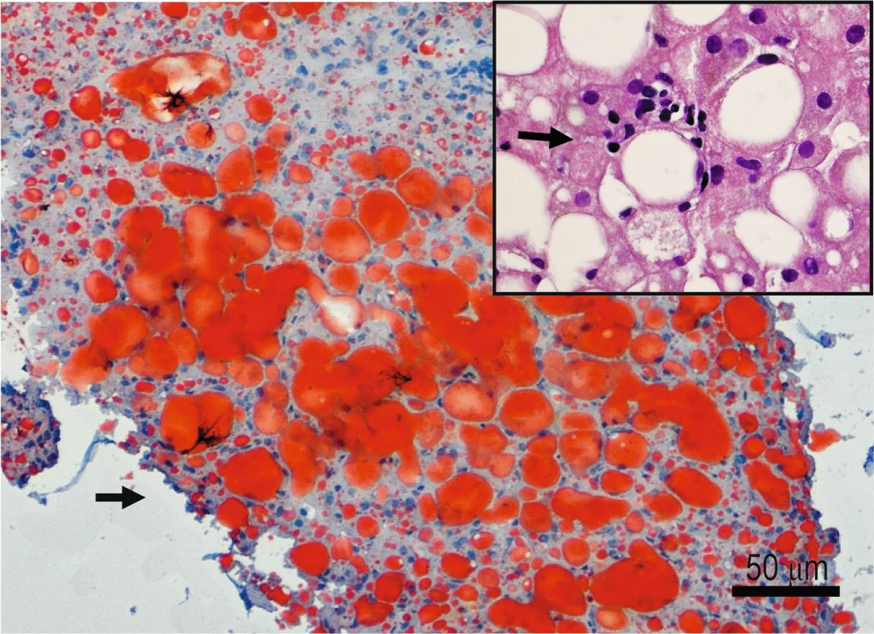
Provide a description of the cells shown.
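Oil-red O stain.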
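The droplets vary greatly in size: small ones are scattered widely, while large ones crowd together and merge into irregular masses that fill much of the section. Between them the liver cells are compressed, leaving only thin pale blue strands of cytoplasm and small blue nuclei. In the inset, a conventional pink-stained section shows liver cells swollen by large clear vacuoles that push their nuclei aside. Beside one vacuole sits a small cluster of dark, small, irregular nuclei of inflammatory cells, forming a focus of inflammation.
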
